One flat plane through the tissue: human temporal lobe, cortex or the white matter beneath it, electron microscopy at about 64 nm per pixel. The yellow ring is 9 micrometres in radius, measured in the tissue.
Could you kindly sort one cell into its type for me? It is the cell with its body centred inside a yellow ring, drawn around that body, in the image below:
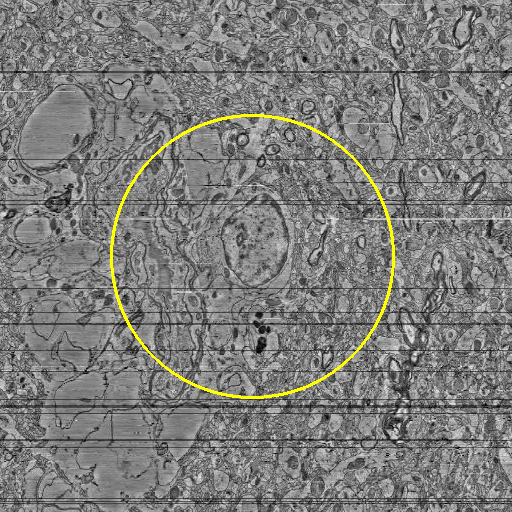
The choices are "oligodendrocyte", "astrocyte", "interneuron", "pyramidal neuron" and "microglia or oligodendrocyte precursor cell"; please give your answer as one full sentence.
The cell whose body lies centred in the yellow ring here is a microglial cell or oligodendrocyte precursor cell.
